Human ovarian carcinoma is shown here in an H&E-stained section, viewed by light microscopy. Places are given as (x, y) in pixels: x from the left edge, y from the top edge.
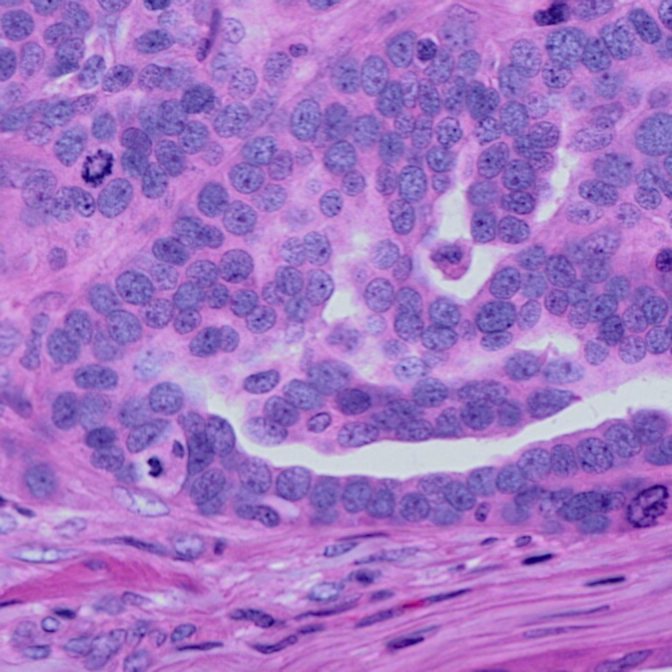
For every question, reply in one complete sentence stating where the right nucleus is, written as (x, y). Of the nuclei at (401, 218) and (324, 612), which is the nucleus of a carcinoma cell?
Heads up, the nucleus at (401, 218) is the one that belongs to a carcinoma cell.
